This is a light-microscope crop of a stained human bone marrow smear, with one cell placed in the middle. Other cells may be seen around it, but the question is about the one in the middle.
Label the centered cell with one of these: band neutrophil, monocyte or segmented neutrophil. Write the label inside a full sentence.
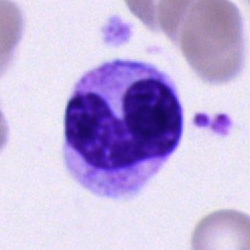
The cell at the middle of the frame should be recorded as a band neutrophil.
